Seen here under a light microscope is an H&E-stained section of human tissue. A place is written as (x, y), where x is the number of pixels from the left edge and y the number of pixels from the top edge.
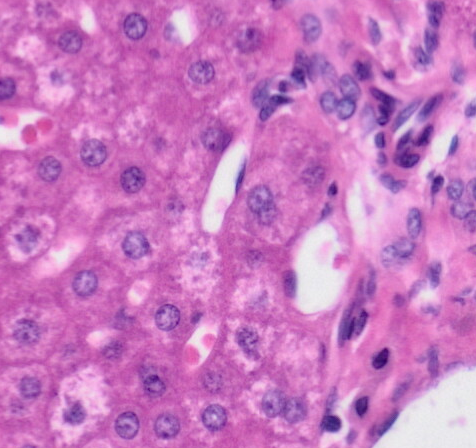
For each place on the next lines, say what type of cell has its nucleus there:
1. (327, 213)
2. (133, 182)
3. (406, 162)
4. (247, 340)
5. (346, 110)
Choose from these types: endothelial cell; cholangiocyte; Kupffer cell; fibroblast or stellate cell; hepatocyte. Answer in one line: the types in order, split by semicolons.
fibroblast or stellate cell; hepatocyte; fibroblast or stellate cell; hepatocyte; cholangiocyte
